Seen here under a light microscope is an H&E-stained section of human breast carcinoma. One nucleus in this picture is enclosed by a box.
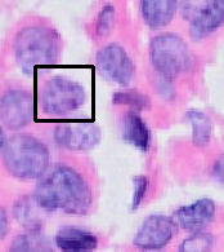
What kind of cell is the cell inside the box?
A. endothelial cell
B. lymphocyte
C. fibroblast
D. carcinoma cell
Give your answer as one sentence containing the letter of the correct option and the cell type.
As the cell inside the box is a carcinoma cell, the correct choice is option D.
